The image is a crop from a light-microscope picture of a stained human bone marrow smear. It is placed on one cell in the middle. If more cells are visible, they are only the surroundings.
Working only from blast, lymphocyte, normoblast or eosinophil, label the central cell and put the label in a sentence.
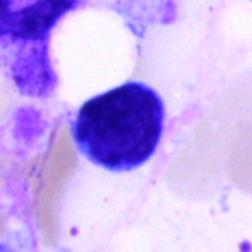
This crop's central cell is a lymphocyte.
